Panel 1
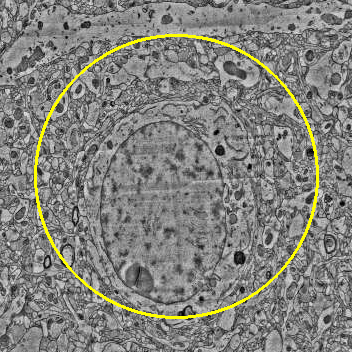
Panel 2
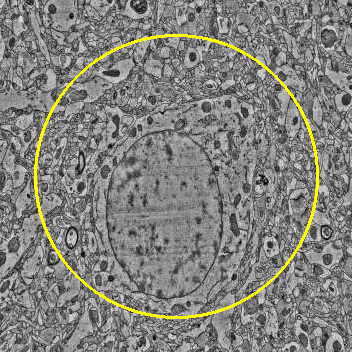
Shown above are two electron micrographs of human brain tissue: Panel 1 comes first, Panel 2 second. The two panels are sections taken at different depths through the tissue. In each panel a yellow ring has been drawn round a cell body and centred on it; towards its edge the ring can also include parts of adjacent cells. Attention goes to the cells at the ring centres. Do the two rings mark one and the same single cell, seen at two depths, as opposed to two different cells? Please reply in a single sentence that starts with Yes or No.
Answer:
Yes, the two rings belong to one cell, not to two.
